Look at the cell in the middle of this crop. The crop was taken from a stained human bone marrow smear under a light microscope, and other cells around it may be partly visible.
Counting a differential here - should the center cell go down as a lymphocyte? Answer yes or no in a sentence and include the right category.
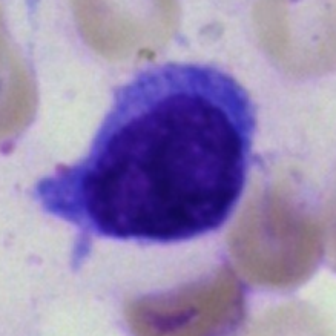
Yes, the cell in the middle has the identity of a lymphocyte.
